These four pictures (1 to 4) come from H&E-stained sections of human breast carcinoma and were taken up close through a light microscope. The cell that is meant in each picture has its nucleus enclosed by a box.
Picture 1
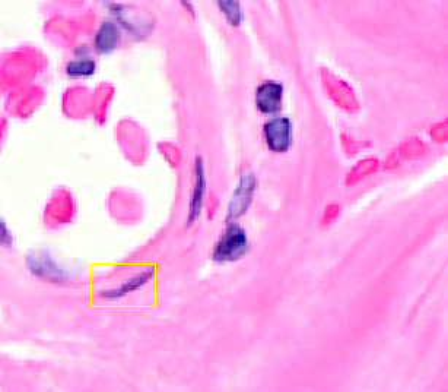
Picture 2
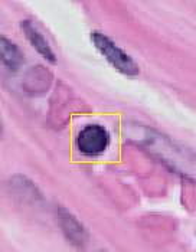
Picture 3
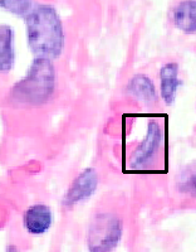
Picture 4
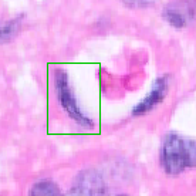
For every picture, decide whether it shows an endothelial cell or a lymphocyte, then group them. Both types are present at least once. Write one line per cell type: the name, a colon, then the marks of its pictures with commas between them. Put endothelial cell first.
endothelial cell: 1, 3, 4
lymphocyte: 2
